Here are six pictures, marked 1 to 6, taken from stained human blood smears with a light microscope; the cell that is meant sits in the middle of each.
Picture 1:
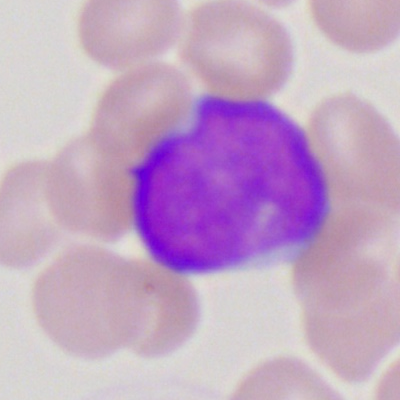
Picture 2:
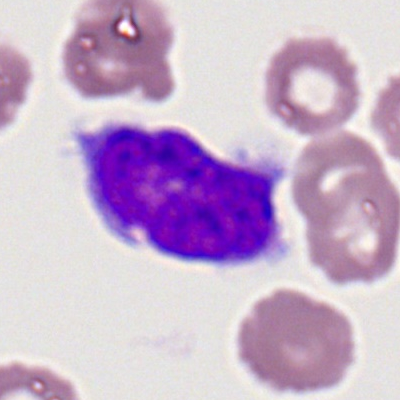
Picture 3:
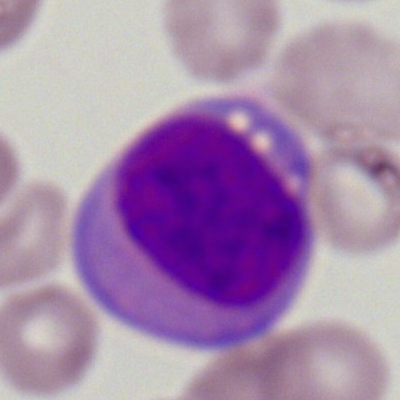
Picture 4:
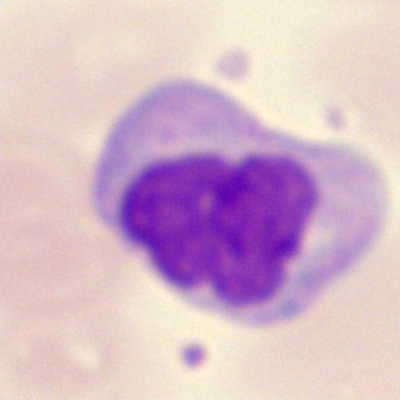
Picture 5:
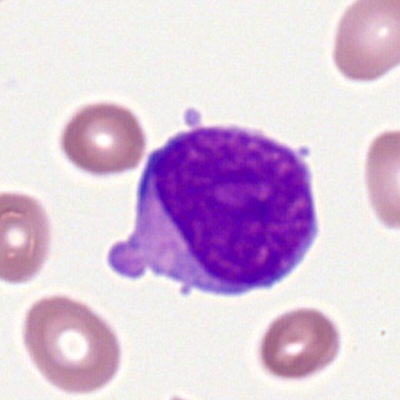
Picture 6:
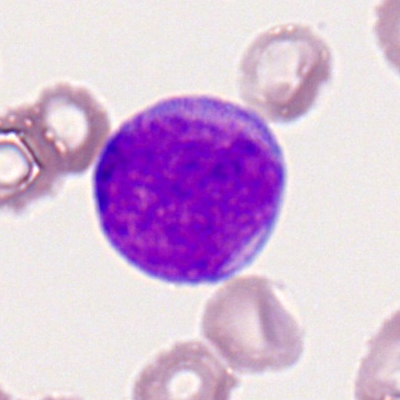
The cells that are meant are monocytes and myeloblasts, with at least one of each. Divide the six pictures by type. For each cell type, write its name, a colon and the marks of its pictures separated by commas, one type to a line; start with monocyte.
monocyte: 2, 4
myeloblast: 1, 3, 5, 6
